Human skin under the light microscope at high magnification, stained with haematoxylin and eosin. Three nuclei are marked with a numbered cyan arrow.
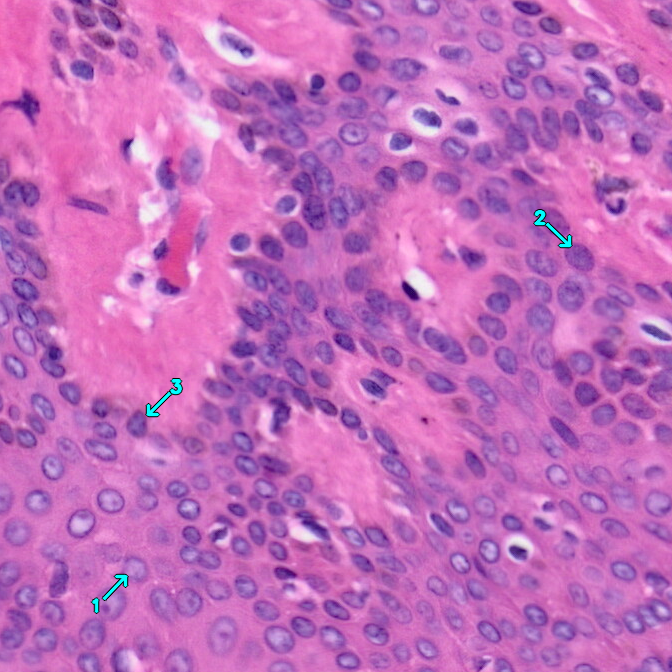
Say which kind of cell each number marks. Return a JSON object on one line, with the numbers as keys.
{"1": "suprabasal keratinocyte", "2": "basal keratinocyte", "3": "basal keratinocyte"}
